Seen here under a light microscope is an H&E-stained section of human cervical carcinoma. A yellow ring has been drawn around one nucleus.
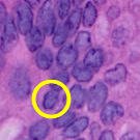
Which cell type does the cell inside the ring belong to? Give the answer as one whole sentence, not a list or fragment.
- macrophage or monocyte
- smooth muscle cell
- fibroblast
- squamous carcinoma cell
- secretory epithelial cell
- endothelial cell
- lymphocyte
The cell type of the cell inside the ring is that of a secretory epithelial cell.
